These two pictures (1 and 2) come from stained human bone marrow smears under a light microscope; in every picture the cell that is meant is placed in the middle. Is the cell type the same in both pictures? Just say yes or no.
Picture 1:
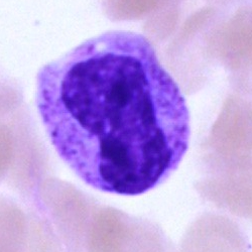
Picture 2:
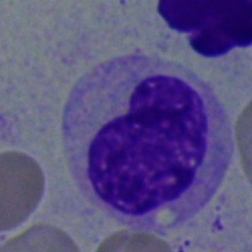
yes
